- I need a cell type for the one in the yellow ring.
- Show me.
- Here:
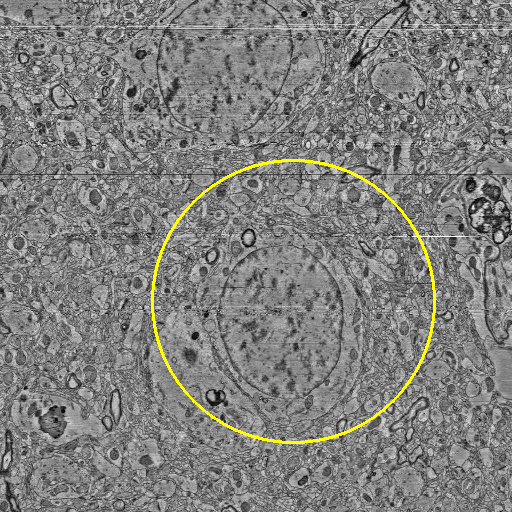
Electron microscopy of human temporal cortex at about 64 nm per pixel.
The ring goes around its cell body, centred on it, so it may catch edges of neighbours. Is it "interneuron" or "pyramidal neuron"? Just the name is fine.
pyramidal neuron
